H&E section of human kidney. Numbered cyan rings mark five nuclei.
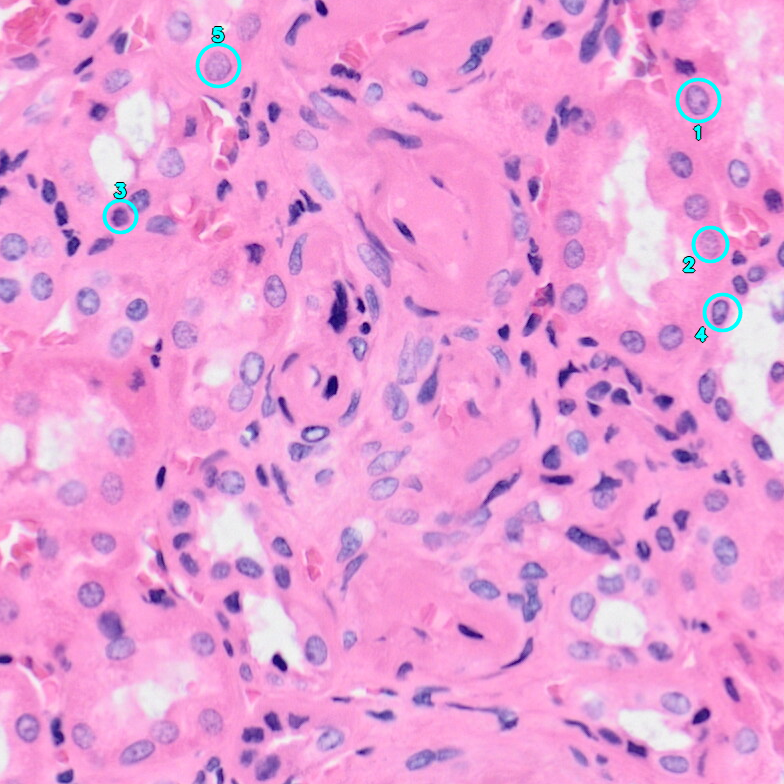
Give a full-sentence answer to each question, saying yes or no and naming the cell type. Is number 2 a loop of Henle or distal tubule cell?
No. Cell number 2 is a proximal tubule cell, not a loop of Henle or distal tubule cell.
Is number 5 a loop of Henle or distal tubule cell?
No, the cell given number 5 is a proximal tubule cell, as opposed to a loop of Henle or distal tubule cell.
